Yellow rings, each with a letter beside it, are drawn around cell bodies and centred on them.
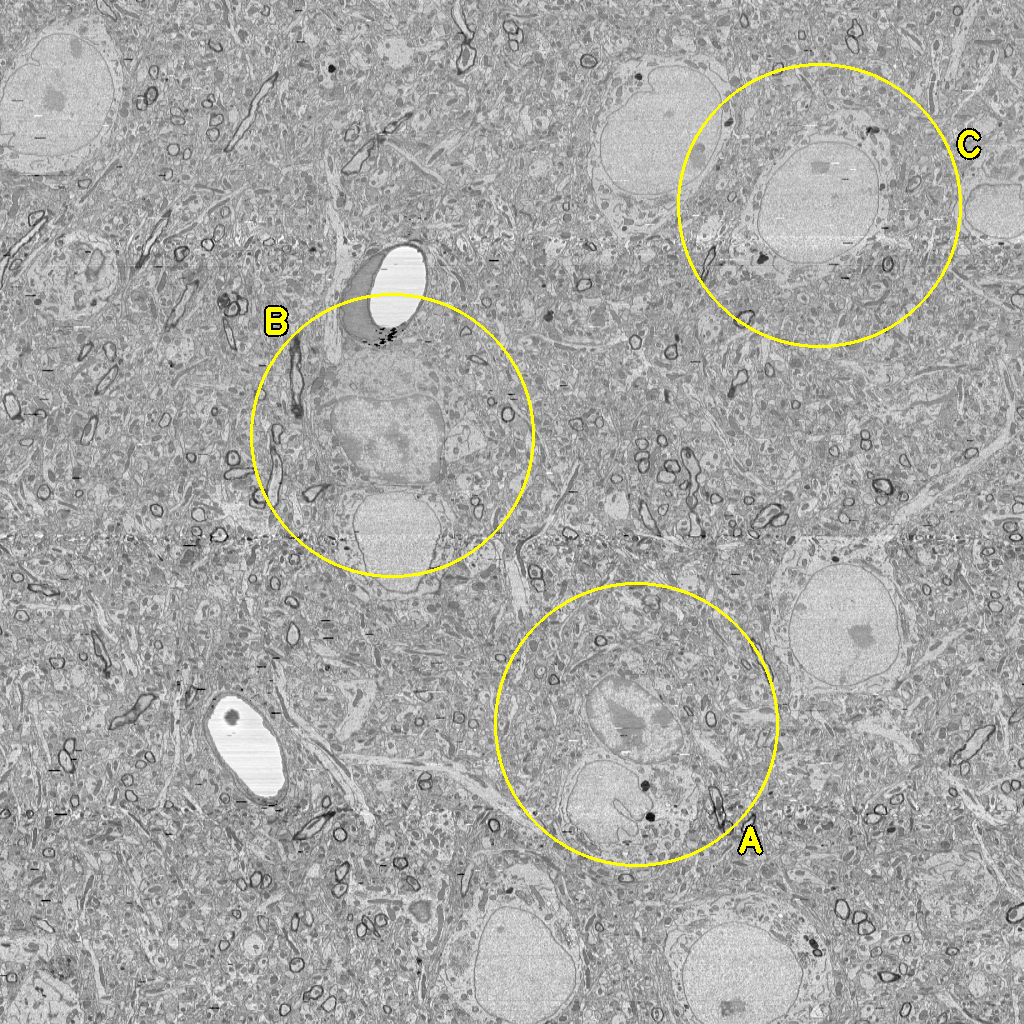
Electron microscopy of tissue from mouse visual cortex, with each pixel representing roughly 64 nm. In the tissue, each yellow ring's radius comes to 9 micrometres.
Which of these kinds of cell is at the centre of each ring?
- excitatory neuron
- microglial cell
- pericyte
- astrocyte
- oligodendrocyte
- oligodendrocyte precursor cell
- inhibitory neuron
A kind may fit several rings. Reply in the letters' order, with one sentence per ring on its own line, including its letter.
The cell in the middle of ring A is an oligodendrocyte.
The cell in the middle of ring B is an oligodendrocyte.
The cell in the middle of ring C is an excitatory neuron.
